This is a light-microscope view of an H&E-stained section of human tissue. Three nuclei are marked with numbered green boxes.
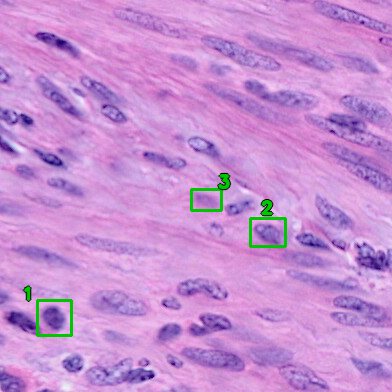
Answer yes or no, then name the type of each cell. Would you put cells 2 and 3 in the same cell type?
Yes, both cell 2 and cell 3 are smooth muscle cells.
